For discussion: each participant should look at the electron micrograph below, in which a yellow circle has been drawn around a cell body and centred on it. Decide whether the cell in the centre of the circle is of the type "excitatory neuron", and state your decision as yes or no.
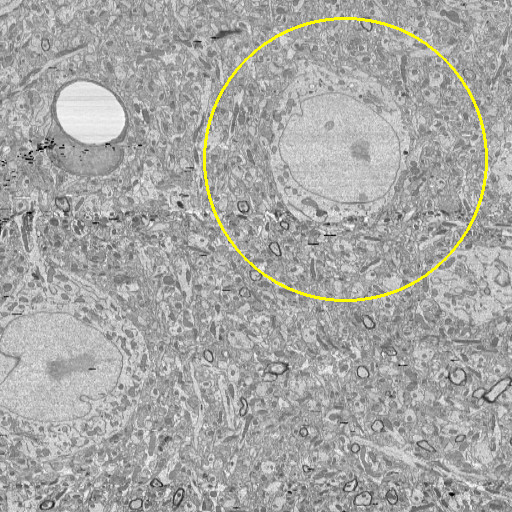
yes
